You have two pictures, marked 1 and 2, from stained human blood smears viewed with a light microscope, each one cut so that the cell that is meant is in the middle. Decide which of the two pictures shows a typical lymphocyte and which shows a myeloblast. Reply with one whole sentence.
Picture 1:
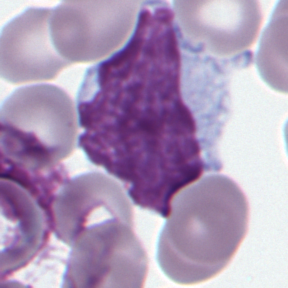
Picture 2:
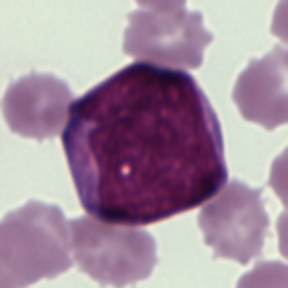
Picture 1 shows a typical lymphocyte and picture 2 shows a myeloblast.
